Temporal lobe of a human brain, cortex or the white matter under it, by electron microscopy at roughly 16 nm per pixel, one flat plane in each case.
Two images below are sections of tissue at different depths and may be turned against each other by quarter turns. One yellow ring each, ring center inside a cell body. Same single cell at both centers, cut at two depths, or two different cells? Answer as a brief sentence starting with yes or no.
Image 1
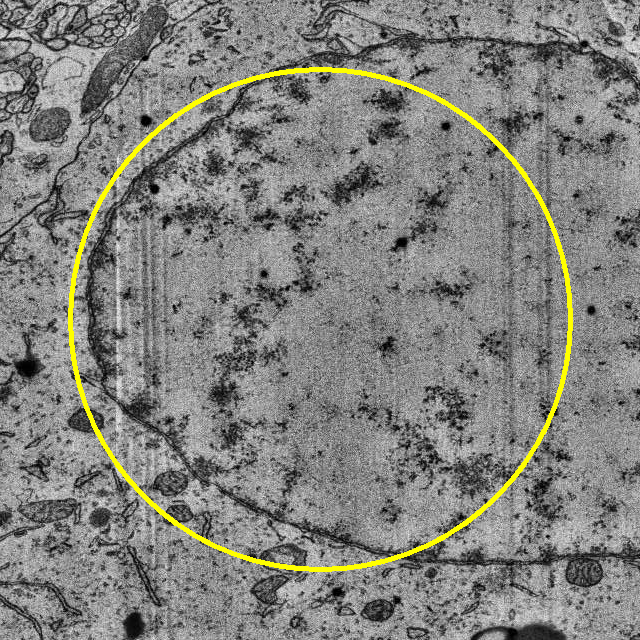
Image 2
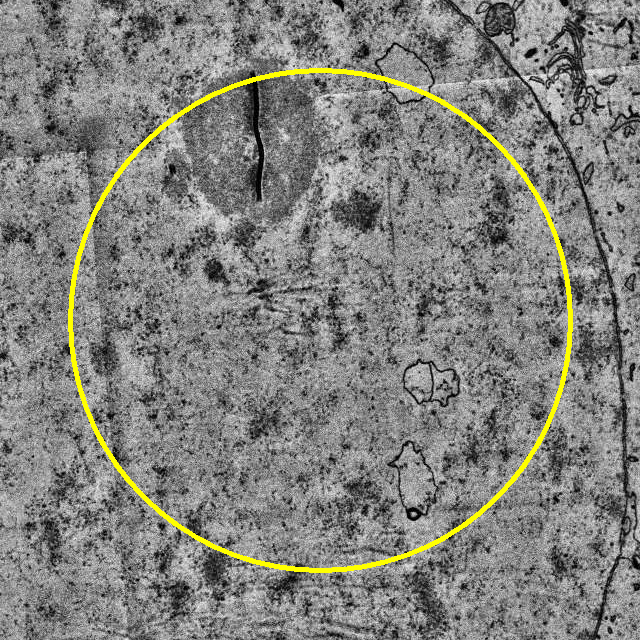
No, the yellow rings mark two separate cells, not one.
